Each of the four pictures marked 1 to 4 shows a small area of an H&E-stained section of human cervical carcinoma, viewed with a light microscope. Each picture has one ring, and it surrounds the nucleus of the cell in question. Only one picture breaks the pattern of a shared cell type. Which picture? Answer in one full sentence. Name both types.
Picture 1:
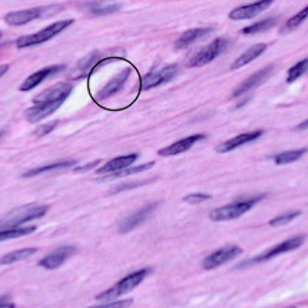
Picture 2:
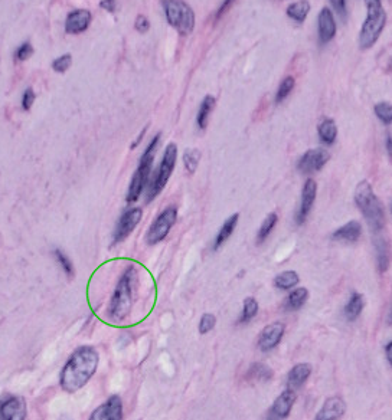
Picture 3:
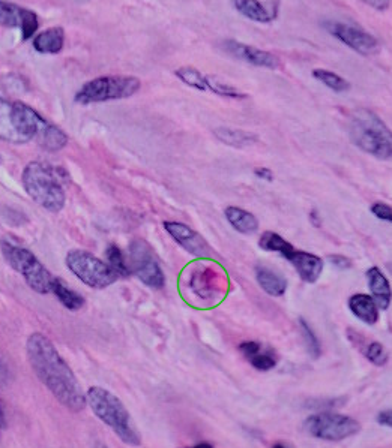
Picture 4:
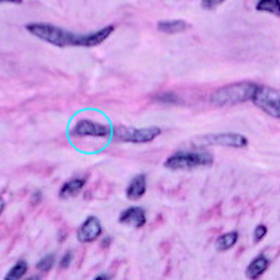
Picture 4 differs, because its cell is a smooth muscle cell and the rest are endothelial cells.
